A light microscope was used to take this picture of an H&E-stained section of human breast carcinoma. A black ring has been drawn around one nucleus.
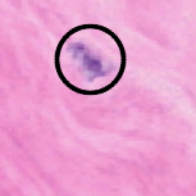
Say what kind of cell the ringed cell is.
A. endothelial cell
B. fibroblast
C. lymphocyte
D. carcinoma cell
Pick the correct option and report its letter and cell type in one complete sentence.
Since the ringed cell is a fibroblast, option B is correct.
